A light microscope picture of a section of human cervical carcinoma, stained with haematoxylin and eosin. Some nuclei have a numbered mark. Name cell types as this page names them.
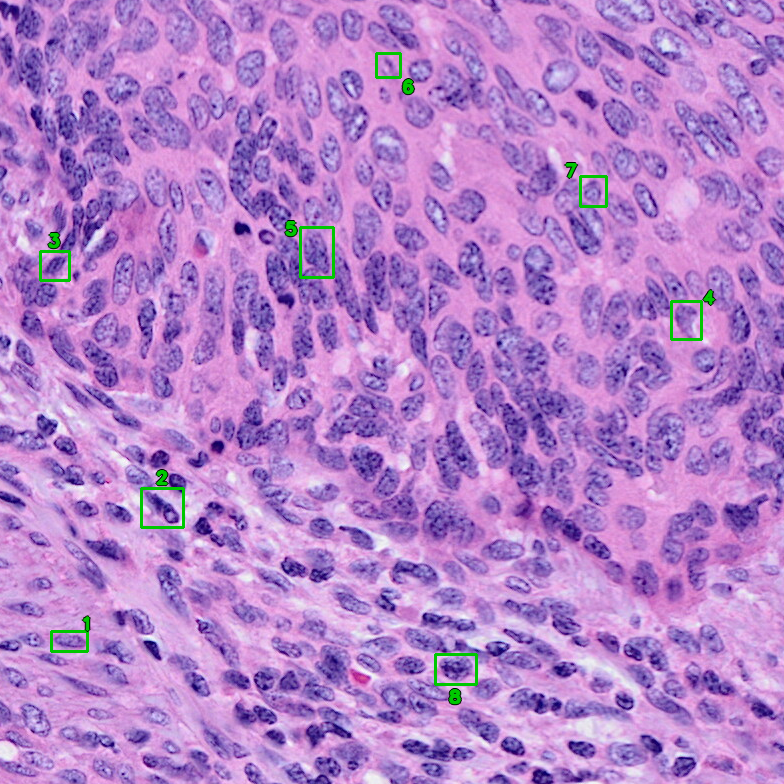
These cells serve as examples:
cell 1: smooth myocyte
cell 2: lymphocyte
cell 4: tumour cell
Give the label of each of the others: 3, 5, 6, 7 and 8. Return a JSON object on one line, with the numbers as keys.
{"3": "tumour cell", "5": "tumour cell", "6": "tumour cell", "7": "tumour cell", "8": "lymphocyte"}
